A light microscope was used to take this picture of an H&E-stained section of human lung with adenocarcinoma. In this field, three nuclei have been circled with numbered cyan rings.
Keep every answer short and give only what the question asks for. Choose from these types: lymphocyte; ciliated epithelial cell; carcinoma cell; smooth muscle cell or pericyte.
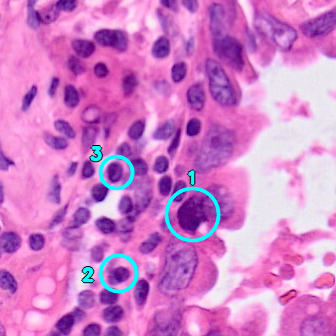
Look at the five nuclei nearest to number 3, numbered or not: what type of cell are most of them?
lymphocyte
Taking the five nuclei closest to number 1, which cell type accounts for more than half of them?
lymphocyte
